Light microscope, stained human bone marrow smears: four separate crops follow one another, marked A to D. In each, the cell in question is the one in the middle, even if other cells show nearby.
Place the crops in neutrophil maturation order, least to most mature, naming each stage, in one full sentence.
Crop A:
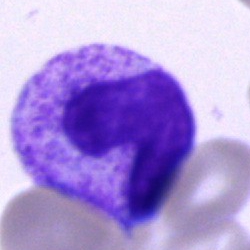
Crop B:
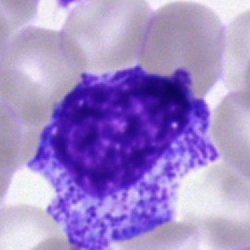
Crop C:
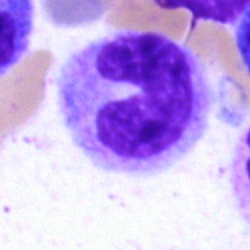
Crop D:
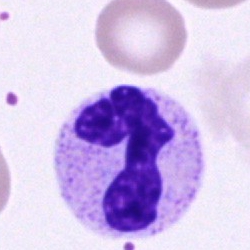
The progression from least to most mature runs crop B (a myelocyte), crop A (a metamyelocyte), crop C (a band neutrophil) and crop D (a segmented neutrophil).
